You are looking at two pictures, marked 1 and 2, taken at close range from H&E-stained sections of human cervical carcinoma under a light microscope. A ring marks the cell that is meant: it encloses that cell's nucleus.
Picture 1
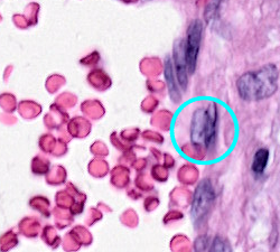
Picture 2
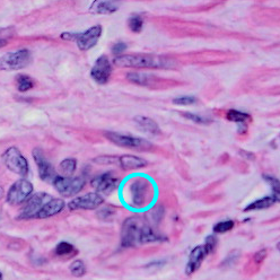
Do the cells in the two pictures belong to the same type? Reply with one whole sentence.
Yes, both are endothelial cells.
